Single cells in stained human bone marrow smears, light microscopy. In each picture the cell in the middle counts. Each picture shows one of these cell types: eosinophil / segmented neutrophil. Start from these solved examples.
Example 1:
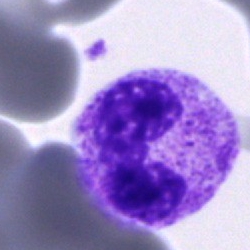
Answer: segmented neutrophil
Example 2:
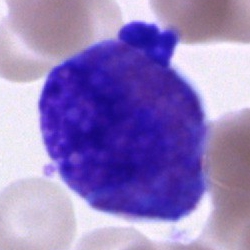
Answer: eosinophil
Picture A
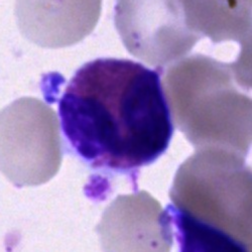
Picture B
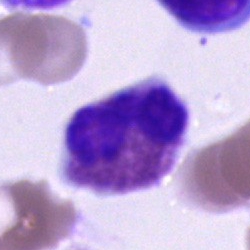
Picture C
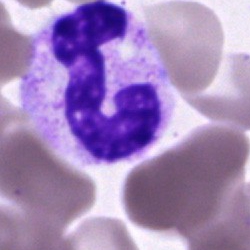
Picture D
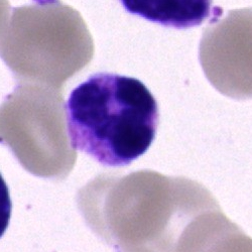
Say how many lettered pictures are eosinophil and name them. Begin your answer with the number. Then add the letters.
Count: 2 (A, B)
